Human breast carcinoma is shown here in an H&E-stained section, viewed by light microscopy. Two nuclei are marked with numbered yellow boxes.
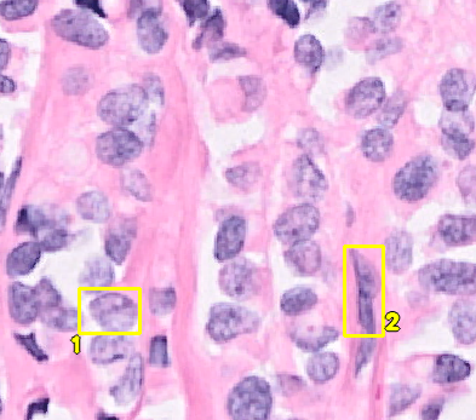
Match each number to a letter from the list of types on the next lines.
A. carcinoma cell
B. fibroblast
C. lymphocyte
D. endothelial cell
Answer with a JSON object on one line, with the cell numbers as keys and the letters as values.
{"1": "A", "2": "D"}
